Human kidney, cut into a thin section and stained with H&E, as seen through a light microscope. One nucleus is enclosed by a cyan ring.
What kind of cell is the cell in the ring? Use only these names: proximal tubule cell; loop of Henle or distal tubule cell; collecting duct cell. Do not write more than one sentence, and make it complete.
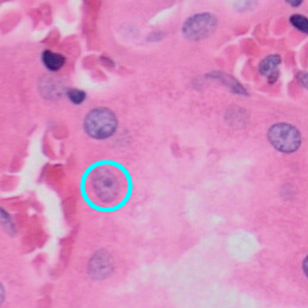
As a matter of cell type, the cell in the ring is a proximal tubule cell.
